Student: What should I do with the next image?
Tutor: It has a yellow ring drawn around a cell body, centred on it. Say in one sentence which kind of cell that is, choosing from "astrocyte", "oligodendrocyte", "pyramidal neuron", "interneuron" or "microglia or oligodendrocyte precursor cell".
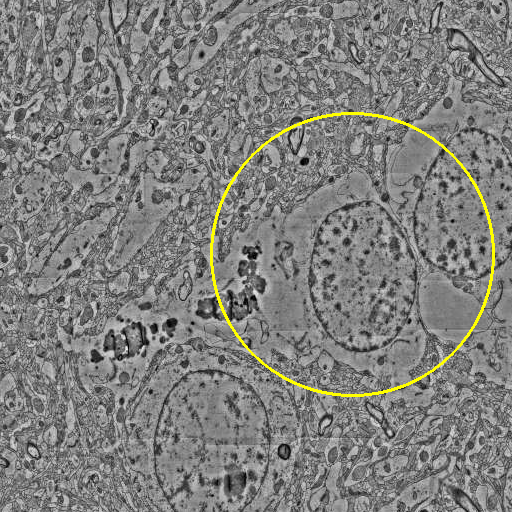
The ring's centre is occupied by an astrocyte.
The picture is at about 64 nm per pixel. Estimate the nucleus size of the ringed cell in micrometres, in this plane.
About 10 micrometres by about 7 micrometres in this plane.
